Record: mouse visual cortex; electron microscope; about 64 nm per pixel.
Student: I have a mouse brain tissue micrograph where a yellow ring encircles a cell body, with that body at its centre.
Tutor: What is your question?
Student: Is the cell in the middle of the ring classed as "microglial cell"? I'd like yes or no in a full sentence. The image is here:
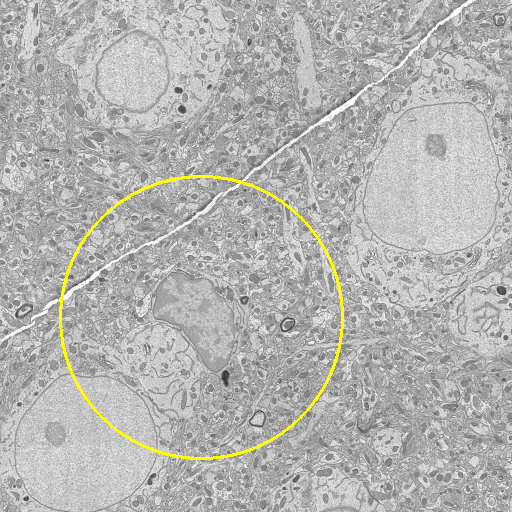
Yes, the cell in the middle of the ring is classed as that kind.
